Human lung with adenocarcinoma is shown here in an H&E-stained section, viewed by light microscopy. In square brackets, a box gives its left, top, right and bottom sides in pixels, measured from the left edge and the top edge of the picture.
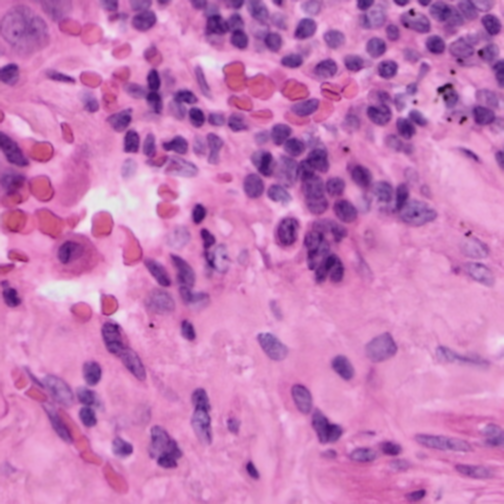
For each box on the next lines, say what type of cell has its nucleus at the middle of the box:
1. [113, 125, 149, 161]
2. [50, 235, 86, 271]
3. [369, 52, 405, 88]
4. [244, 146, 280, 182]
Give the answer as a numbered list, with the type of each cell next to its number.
1. lymphocyte
2. macrophage or monocyte
3. lymphocyte
4. lymphocyte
